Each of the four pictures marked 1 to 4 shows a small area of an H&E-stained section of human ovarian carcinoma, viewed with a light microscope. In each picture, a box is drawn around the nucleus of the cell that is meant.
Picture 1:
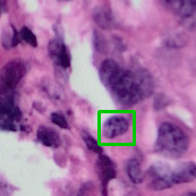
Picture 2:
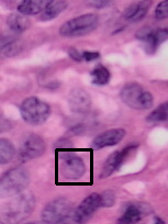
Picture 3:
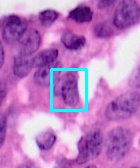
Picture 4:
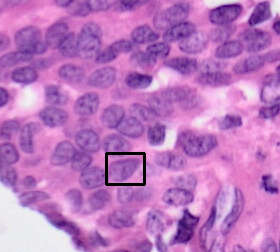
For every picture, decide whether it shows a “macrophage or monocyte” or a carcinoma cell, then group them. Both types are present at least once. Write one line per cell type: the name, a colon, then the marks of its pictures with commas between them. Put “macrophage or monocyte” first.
macrophage or monocyte: 1, 2
carcinoma cell: 3, 4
